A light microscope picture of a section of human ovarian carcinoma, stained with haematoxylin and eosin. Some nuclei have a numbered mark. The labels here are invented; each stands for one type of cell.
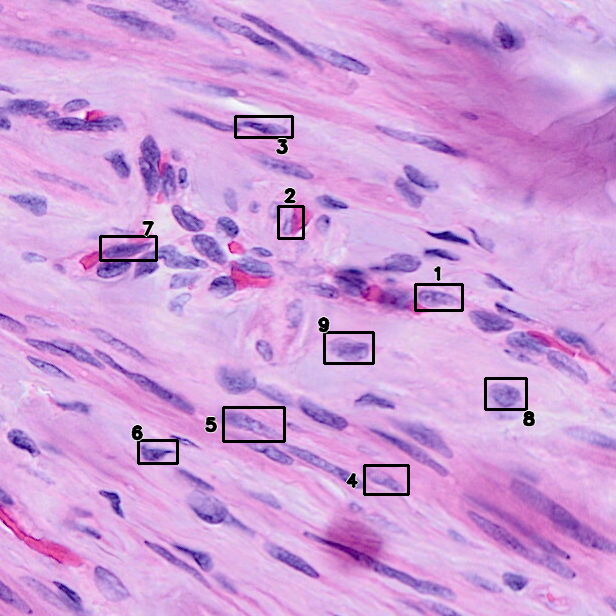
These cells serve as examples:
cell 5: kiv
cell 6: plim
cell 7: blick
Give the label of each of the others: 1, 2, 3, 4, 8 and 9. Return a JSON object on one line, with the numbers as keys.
{"1": "blick", "2": "blick", "3": "kiv", "4": "kiv", "8": "plim", "9": "plim"}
